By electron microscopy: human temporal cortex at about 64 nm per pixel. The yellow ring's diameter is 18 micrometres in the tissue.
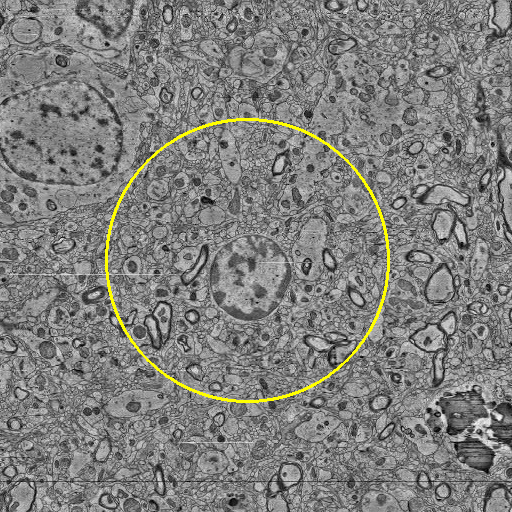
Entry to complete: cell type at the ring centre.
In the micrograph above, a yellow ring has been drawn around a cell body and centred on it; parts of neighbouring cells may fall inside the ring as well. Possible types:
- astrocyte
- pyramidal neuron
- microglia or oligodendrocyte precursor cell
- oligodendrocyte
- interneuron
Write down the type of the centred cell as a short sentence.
The ring is centred on a microglial cell or oligodendrocyte precursor cell.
